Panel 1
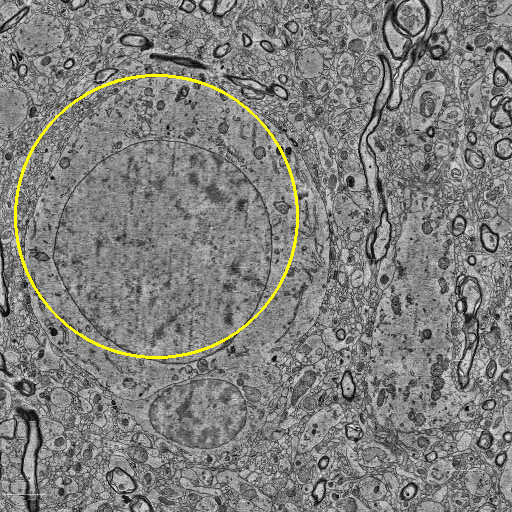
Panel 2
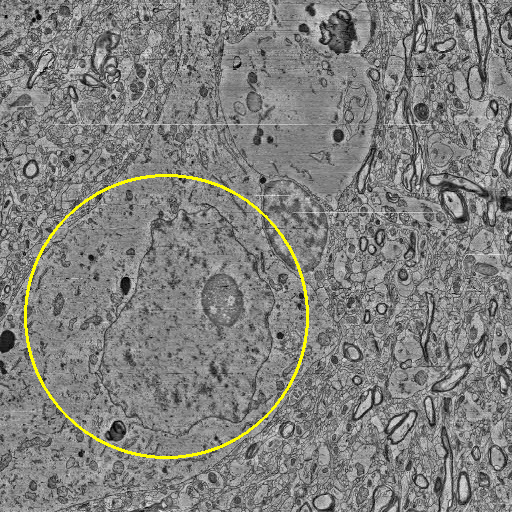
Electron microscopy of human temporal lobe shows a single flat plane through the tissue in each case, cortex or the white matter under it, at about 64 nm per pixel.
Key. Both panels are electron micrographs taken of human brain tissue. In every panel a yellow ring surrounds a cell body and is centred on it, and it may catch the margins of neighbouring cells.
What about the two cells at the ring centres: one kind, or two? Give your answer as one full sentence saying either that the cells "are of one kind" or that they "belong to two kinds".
Across Panels 1 and 2, the two cells at the ring centres are of one kind.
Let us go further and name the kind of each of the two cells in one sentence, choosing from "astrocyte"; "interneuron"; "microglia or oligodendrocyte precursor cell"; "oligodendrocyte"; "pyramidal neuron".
Each of the ringed cells, first and second, is a pyramidal neuron.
